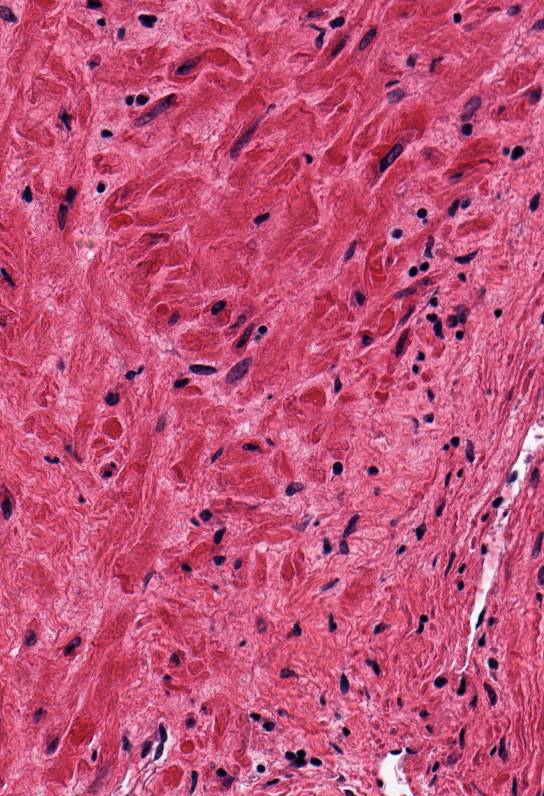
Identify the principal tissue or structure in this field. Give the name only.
fibromuscular stroma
